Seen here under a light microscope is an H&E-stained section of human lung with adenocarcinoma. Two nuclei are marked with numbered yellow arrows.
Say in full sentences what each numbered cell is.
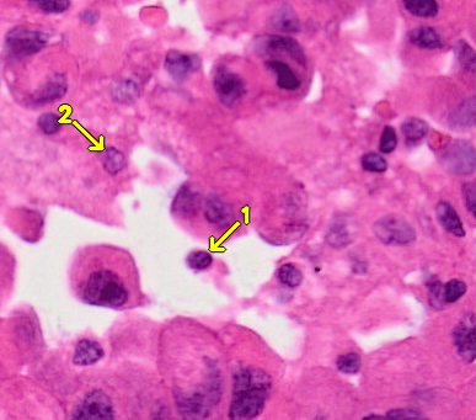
Cell 1 is a lymphocyte. Cell 2 is a macrophage or monocyte.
